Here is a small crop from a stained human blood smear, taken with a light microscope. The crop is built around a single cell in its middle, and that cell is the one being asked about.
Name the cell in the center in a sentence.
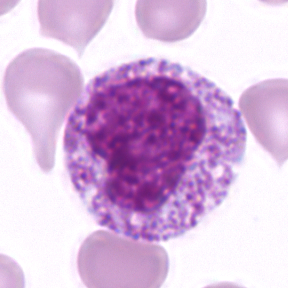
The cell of interest, in the center, is a myelocyte.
